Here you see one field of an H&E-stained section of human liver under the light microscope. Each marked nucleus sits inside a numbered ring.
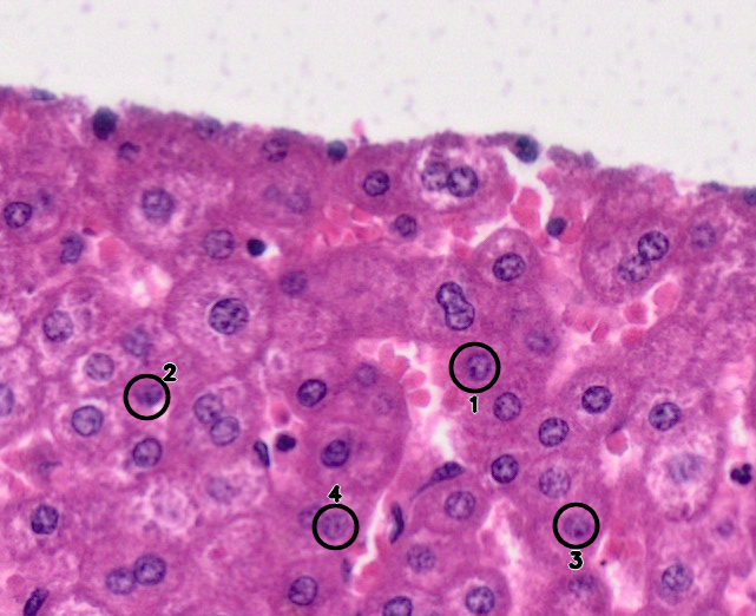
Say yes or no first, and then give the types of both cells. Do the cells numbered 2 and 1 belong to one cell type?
No, cell 2 is an endothelial cell and cell 1 is a hepatocyte.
